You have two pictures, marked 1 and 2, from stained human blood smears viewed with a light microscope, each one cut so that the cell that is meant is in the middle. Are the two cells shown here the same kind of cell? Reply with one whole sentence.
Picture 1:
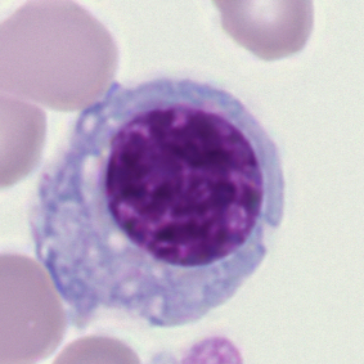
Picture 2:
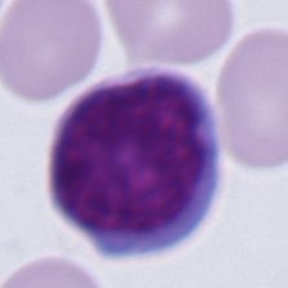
No, the types are not the same, since picture 1 shows a plasma cell and picture 2 a typical lymphocyte.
